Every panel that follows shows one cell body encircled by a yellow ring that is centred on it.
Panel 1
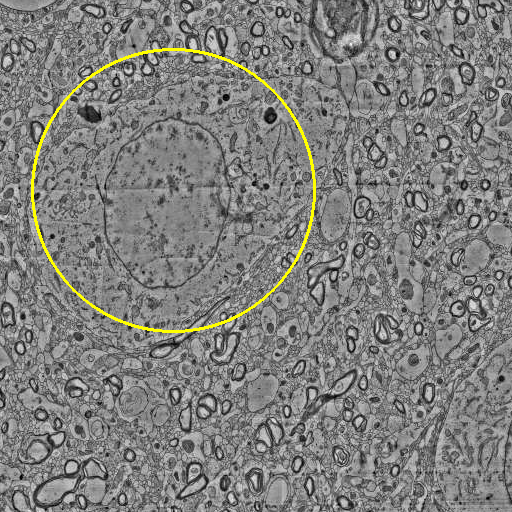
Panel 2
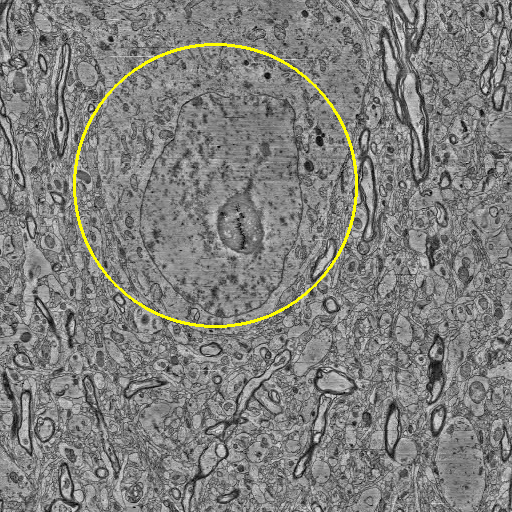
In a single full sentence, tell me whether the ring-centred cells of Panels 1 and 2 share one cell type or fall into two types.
In Panel 1 and Panel 2, the cells at the ring centres share one cell type.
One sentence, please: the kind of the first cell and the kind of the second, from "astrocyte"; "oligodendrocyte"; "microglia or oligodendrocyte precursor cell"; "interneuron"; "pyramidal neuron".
Each one of the two ringed cells is a pyramidal neuron.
